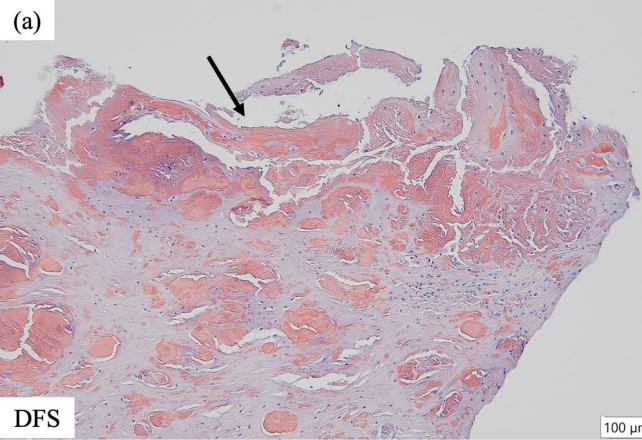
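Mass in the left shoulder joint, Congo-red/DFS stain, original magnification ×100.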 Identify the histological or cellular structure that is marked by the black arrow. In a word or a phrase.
Eosinophilic, amorphous structures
